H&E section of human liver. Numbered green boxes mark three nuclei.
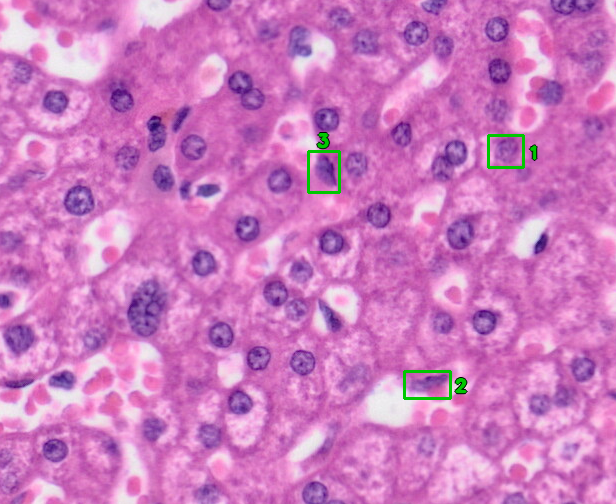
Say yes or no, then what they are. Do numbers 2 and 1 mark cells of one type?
No, cell 2 is a Kupffer cell and cell 1 is a hepatocyte.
